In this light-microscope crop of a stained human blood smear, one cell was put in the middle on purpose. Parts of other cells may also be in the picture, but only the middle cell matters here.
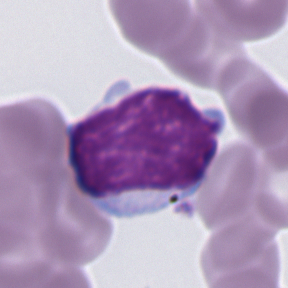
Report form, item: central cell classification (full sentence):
The central element of this crop is a cell, namely a large granular lymphocyte.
